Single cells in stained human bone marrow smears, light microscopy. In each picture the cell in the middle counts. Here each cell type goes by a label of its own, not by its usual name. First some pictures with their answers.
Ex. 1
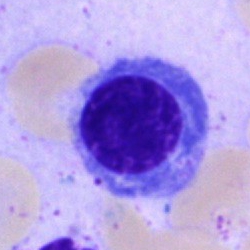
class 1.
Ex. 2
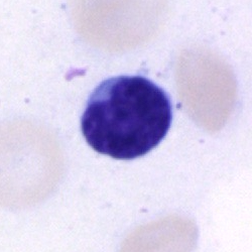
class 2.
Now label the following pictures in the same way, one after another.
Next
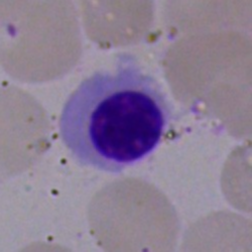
class 1.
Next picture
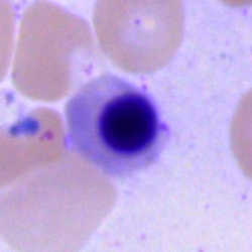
class 1.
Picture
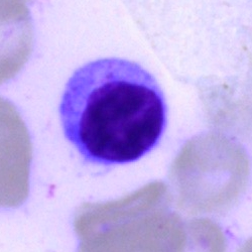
class 2.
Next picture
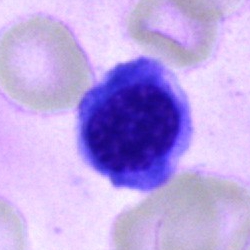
class 1.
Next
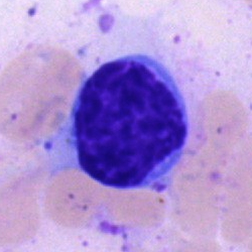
class 2.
